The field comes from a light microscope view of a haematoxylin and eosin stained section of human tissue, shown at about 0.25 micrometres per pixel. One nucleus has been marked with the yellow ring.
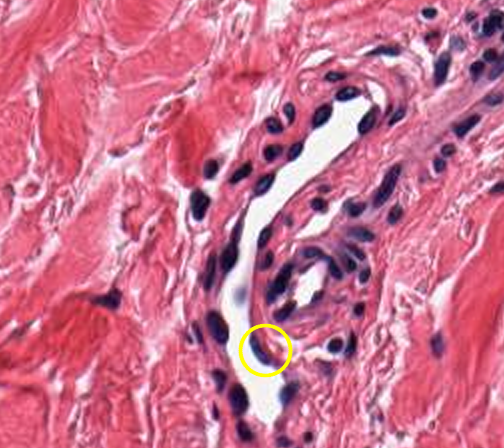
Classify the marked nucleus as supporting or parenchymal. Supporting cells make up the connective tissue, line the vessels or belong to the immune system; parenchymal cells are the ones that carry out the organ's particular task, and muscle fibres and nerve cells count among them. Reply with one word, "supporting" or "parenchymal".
supporting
